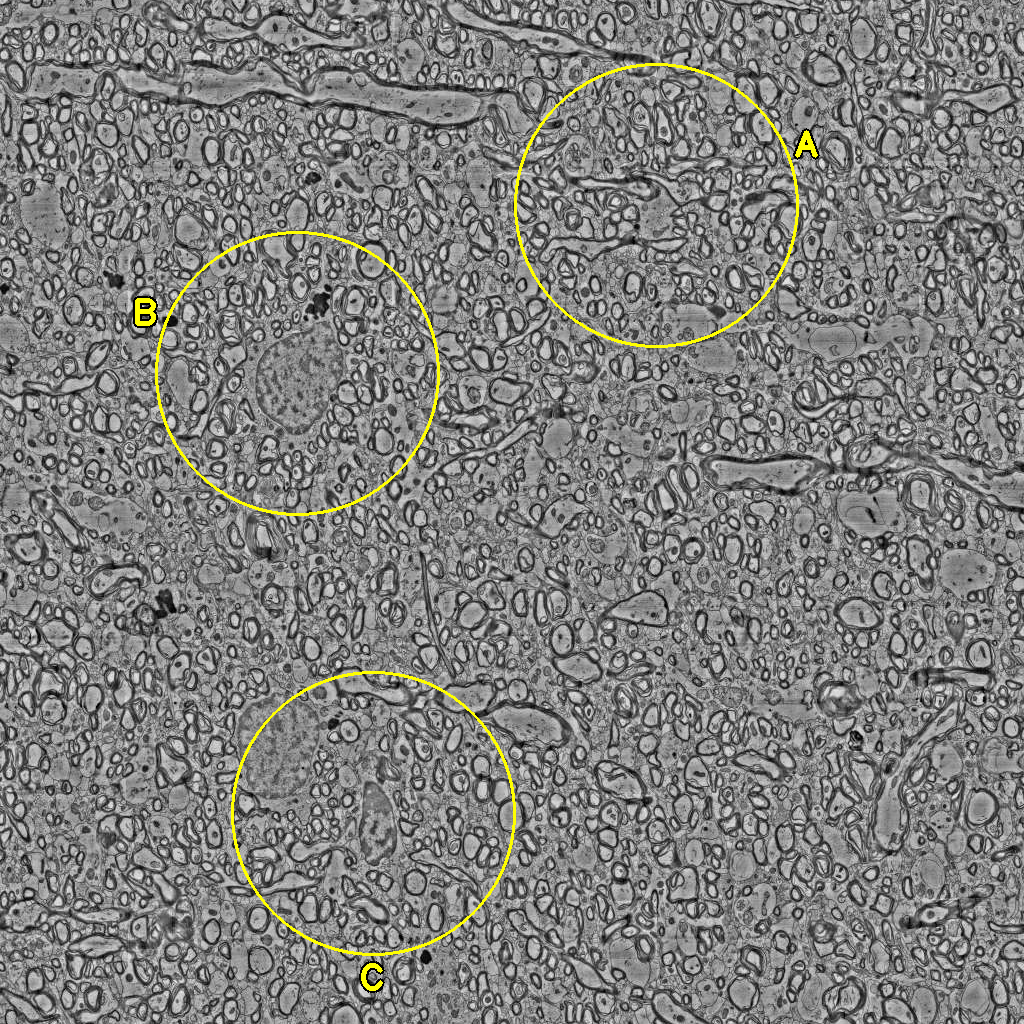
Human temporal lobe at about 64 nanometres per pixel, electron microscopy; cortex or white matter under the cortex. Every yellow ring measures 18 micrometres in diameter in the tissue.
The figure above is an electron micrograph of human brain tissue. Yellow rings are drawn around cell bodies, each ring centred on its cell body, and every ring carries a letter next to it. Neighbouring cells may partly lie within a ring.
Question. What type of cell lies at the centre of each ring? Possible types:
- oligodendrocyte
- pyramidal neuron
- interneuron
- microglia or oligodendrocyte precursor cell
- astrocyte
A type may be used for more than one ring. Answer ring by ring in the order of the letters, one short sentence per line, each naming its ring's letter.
In ring A, the central cell is an oligodendrocyte.
In ring B, the central cell is an oligodendrocyte.
In ring C, the central cell is a microglial cell or oligodendrocyte precursor cell.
